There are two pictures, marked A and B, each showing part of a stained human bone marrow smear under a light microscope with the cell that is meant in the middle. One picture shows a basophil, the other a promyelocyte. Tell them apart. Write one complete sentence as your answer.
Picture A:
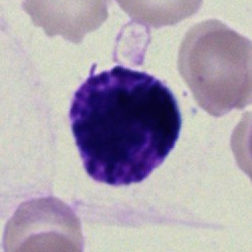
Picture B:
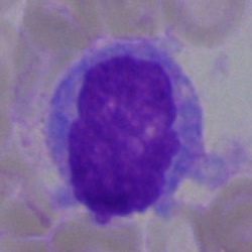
In picture A the cell is a basophil; in picture B, a promyelocyte.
